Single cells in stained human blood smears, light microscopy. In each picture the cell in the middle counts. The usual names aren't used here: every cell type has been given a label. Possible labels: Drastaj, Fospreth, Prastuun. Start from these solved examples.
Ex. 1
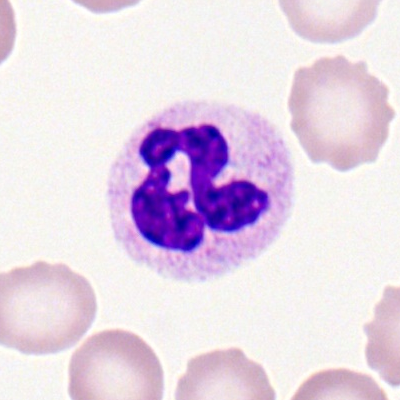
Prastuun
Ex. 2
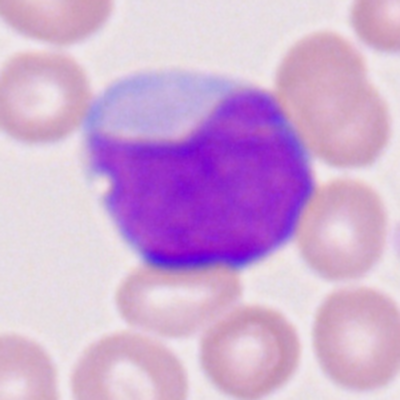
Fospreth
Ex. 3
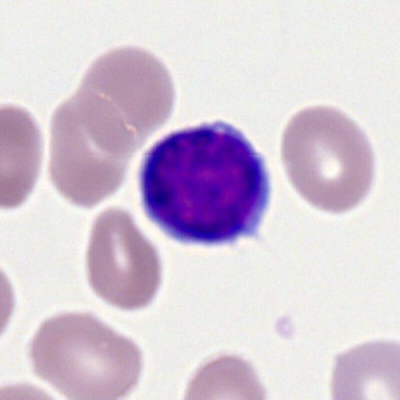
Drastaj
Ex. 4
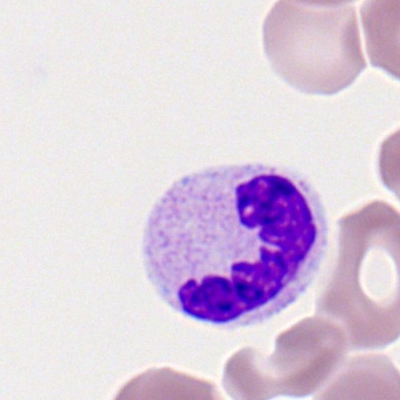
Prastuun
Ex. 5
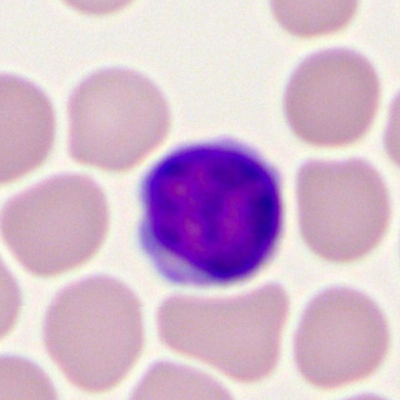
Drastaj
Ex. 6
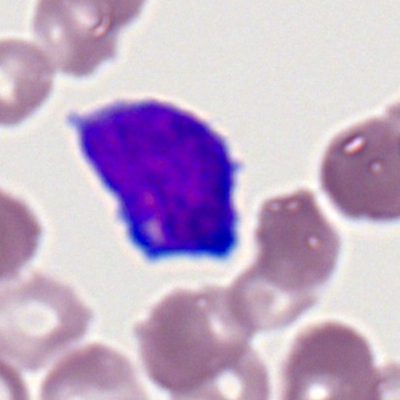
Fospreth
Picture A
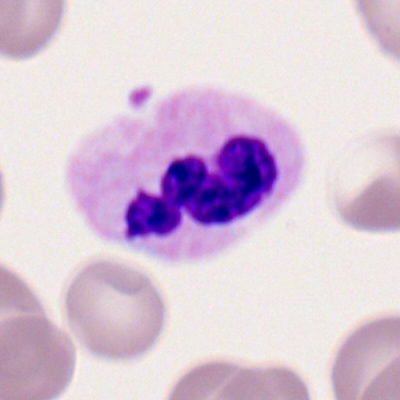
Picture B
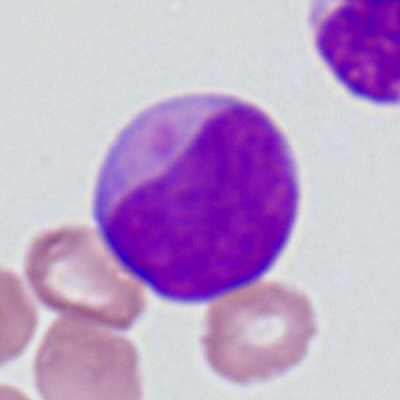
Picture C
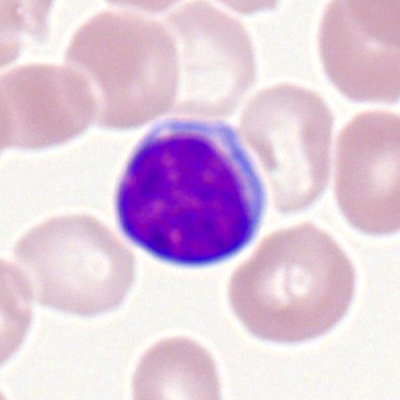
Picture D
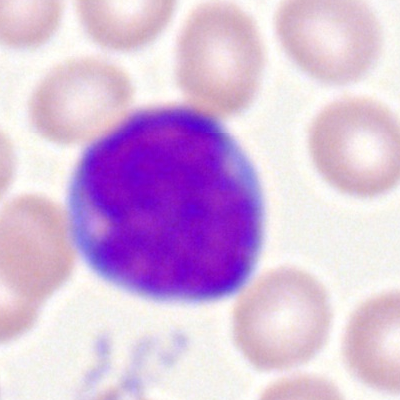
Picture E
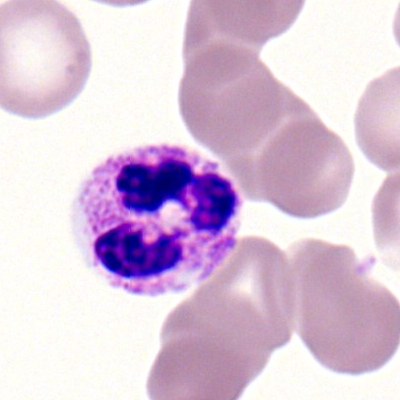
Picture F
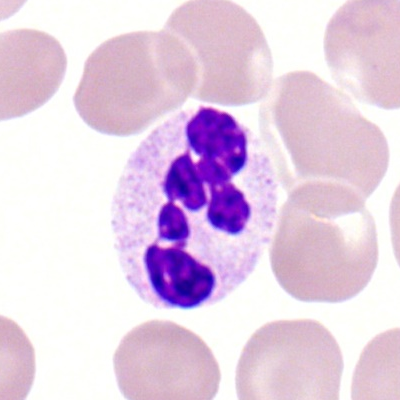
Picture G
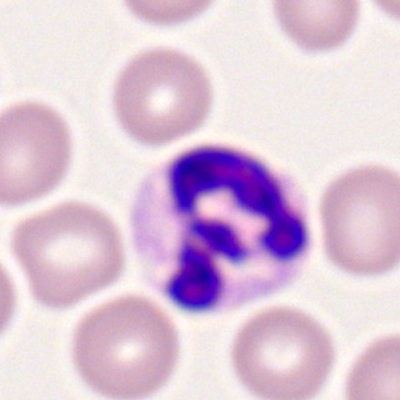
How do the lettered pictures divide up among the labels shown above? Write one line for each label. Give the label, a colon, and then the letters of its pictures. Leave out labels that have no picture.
Drastaj: C
Fospreth: B, D
Prastuun: A, E, F, G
